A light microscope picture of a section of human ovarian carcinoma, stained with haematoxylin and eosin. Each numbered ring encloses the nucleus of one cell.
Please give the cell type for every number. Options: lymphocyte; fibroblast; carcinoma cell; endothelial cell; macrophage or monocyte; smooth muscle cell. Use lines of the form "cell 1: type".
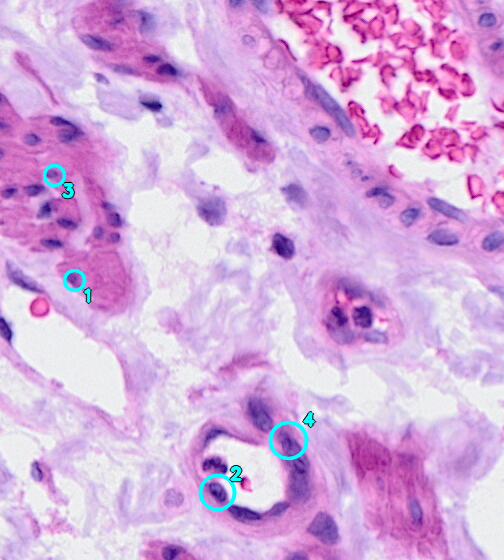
cell 1: smooth muscle cell
cell 2: endothelial cell
cell 3: smooth muscle cell
cell 4: endothelial cell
